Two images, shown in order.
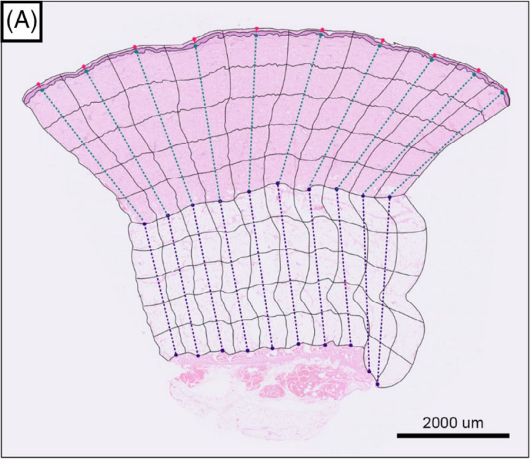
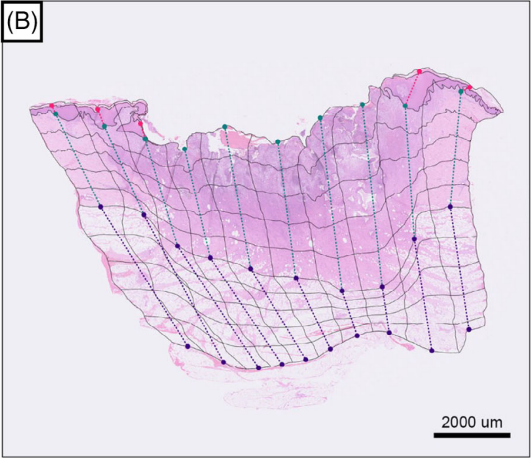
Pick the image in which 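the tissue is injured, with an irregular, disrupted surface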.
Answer: the second image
